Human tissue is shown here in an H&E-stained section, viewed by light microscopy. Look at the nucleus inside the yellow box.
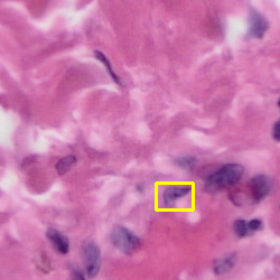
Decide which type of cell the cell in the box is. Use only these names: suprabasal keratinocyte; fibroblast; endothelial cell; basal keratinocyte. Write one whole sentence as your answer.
In this tissue sample, the cell in the box is an endothelial cell.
